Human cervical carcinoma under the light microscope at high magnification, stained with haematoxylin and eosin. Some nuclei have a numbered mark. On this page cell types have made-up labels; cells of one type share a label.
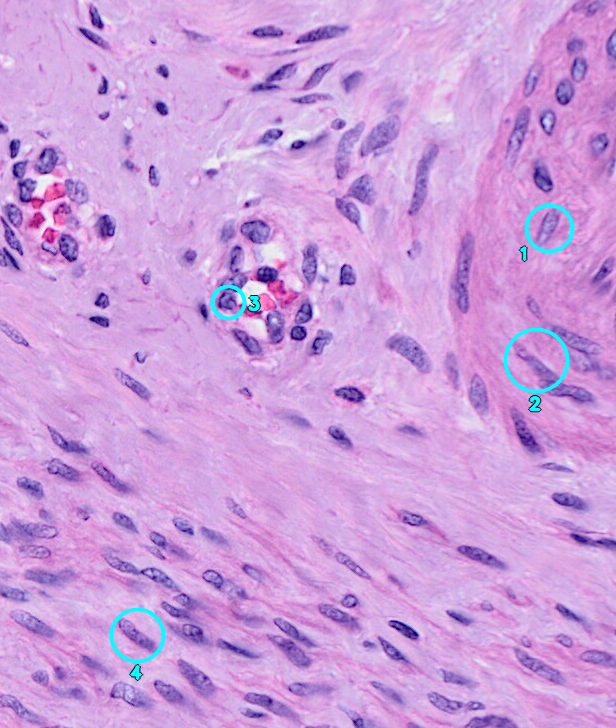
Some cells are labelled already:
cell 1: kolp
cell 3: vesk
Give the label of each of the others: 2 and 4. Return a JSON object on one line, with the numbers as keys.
{"2": "kolp", "4": "kolp"}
